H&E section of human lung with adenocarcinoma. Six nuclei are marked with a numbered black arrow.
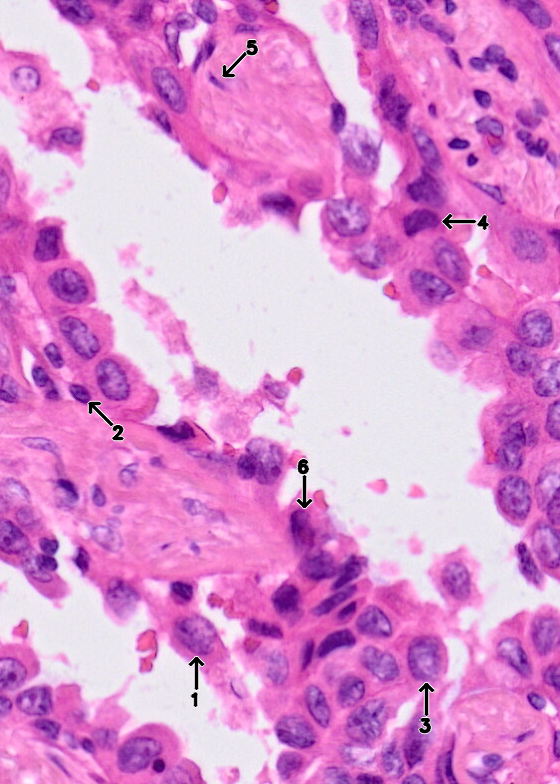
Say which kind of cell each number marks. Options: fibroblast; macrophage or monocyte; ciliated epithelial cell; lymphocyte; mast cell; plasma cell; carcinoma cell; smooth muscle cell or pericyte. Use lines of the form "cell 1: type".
cell 1: carcinoma cell
cell 2: lymphocyte
cell 3: carcinoma cell
cell 4: carcinoma cell
cell 5: fibroblast
cell 6: carcinoma cell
